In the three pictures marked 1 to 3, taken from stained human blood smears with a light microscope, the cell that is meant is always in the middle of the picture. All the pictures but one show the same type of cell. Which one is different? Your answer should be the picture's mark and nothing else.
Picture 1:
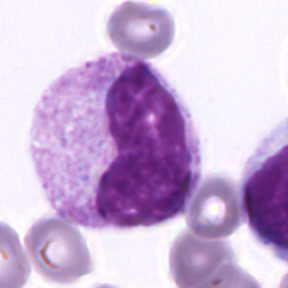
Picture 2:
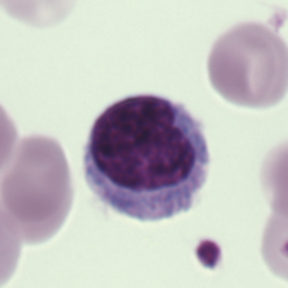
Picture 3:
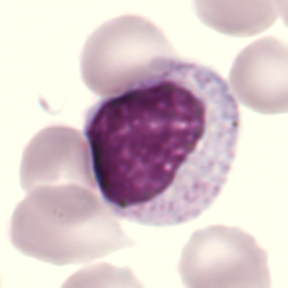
2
